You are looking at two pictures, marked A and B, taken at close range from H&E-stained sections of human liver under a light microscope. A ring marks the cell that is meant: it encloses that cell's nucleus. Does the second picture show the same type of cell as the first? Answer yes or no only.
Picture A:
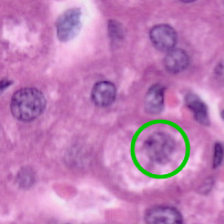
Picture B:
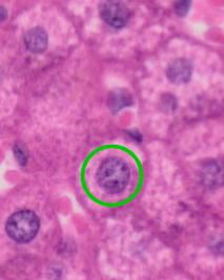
yes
